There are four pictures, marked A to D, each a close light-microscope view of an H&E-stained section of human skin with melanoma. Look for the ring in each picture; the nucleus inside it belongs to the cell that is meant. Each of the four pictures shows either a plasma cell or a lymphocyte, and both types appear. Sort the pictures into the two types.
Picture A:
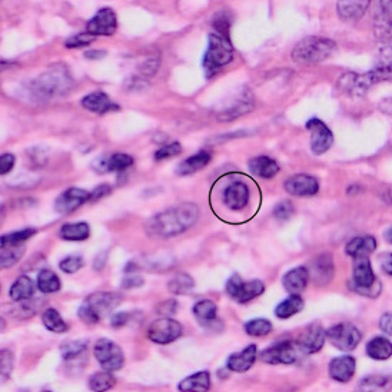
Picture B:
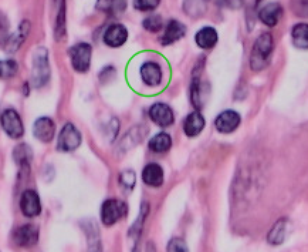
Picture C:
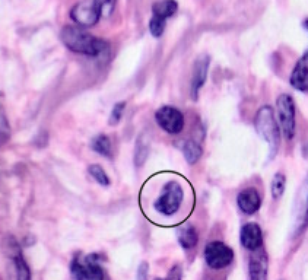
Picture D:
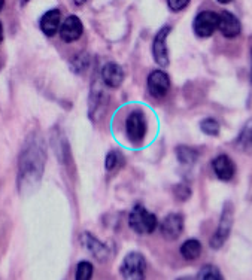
A: plasma cell
B: lymphocyte
C: lymphocyte
D: plasma cell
